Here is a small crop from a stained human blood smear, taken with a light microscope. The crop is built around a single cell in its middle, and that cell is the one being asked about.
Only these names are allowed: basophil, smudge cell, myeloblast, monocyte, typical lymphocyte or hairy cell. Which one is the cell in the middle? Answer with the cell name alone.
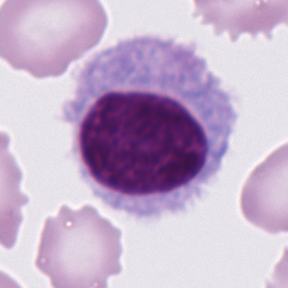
hairy cell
